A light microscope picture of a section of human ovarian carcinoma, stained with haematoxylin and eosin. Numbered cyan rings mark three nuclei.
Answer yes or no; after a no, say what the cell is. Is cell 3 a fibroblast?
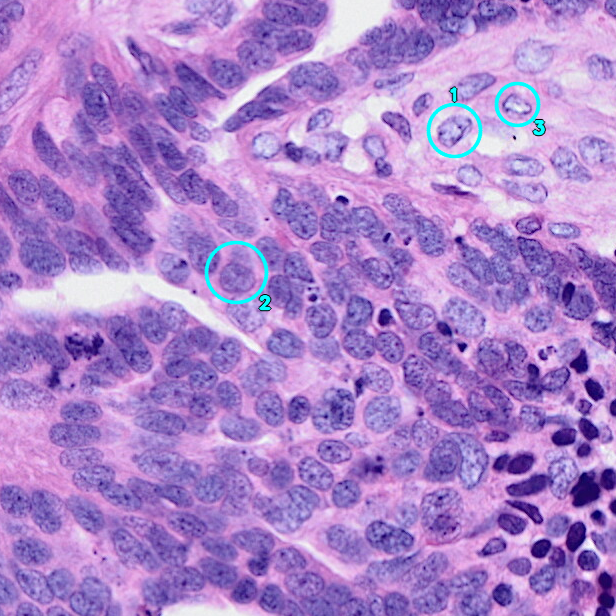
Yes.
